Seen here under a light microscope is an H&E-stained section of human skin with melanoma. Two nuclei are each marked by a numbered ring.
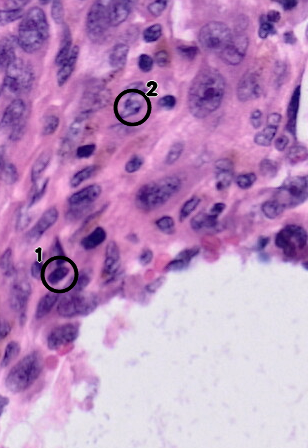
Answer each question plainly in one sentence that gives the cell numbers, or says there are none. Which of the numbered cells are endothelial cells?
Of all the numbered cells, only one is an endothelial cell, and that is cell 2.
